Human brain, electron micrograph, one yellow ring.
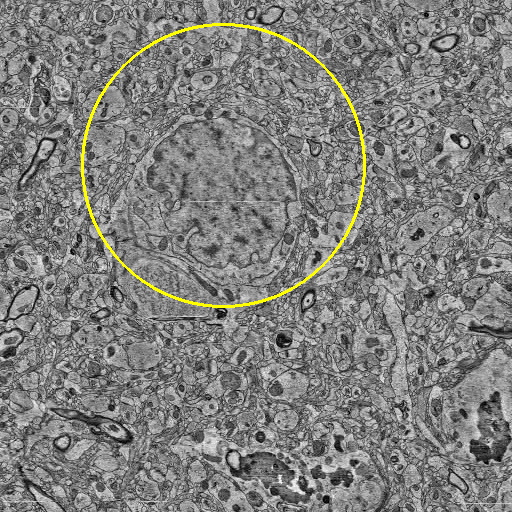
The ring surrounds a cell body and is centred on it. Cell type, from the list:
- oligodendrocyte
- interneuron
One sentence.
The yellow ring circles an interneuron.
